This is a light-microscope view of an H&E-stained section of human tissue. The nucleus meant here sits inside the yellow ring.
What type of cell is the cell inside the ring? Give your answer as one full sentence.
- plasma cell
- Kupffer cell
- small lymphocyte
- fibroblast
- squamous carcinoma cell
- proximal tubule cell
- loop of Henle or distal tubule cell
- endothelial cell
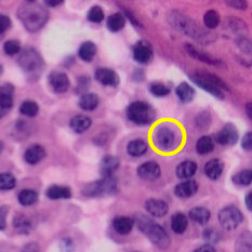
It is as a plasma cell that the cell inside the ring is classified.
